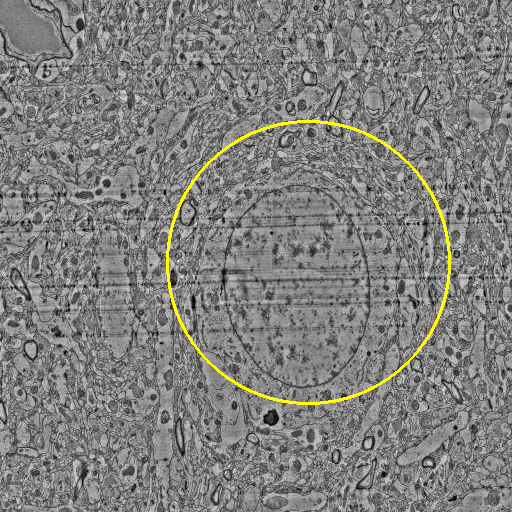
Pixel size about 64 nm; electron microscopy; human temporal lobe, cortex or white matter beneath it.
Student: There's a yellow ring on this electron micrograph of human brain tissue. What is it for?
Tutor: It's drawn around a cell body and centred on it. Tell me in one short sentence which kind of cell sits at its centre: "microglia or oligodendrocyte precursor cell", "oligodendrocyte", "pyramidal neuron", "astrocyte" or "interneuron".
The cell at the centre of the ring is a pyramidal neuron.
